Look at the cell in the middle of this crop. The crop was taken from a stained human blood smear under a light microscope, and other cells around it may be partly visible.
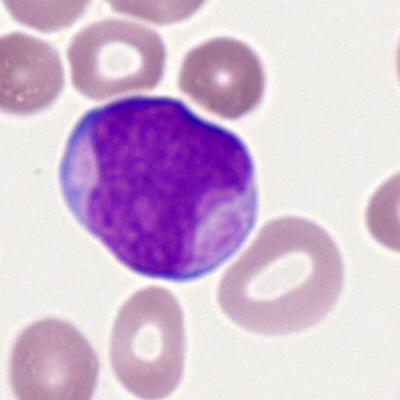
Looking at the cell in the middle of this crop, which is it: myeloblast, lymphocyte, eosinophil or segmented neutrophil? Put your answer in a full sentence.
The central cell, amid any neighbouring cells, is a myeloblast.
